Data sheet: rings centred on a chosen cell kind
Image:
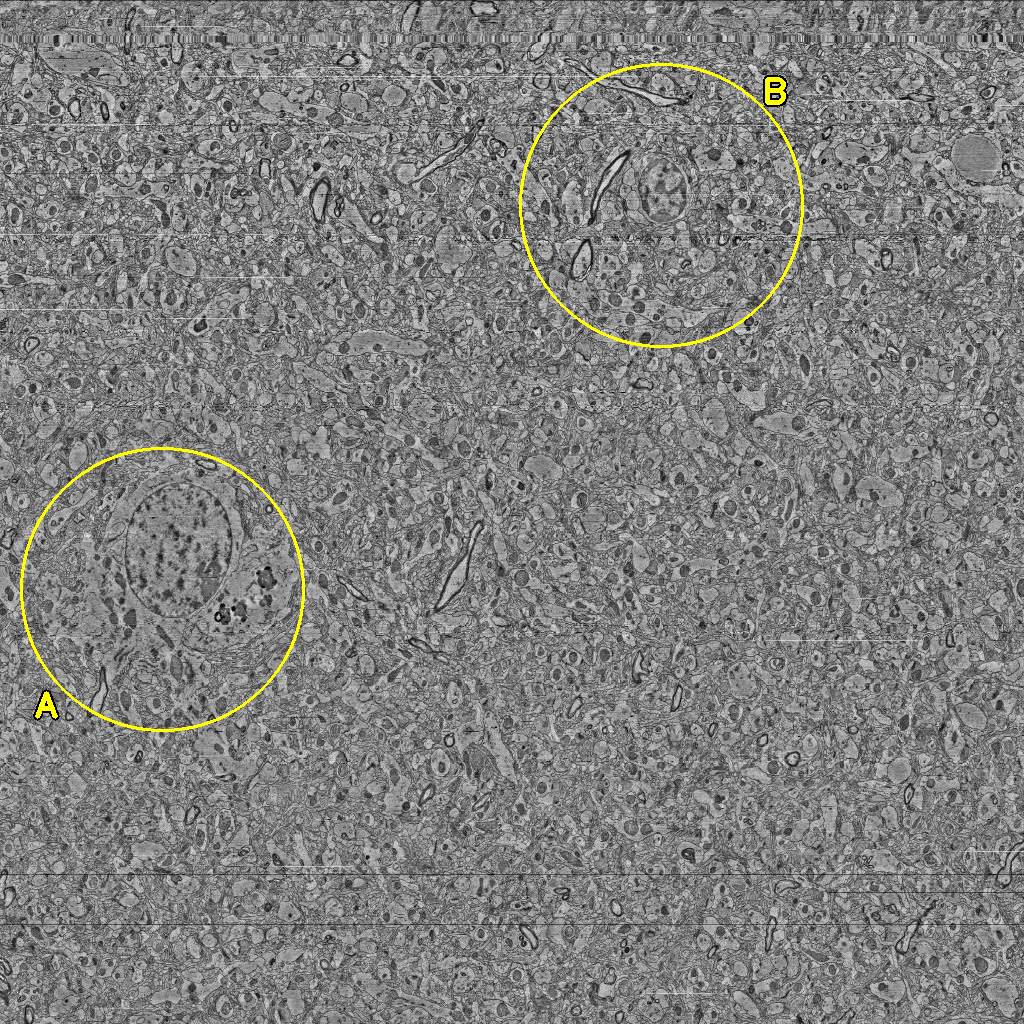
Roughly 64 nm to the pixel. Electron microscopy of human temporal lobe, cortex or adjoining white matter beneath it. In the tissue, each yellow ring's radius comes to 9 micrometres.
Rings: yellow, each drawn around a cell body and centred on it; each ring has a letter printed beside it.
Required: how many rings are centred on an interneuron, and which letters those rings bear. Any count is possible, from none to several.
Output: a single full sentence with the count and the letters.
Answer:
The rings around the cell bodies include none centred on an interneuron, so the count is zero.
